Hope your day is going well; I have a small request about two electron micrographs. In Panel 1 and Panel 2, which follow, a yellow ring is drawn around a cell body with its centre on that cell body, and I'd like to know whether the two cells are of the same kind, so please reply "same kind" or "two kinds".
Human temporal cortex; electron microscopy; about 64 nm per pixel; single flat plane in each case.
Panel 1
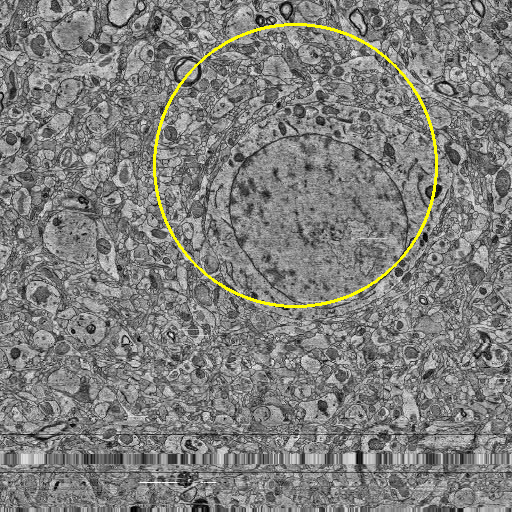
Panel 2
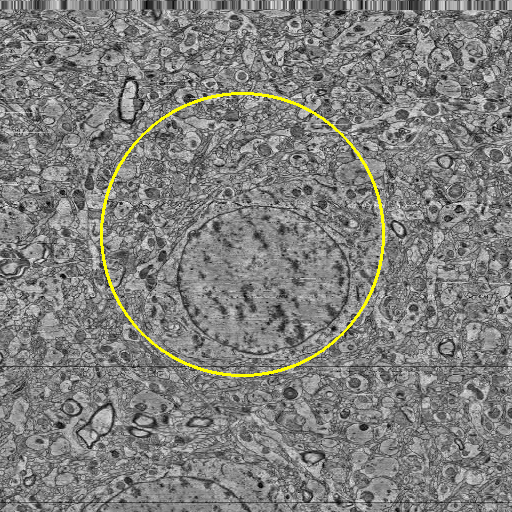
same kind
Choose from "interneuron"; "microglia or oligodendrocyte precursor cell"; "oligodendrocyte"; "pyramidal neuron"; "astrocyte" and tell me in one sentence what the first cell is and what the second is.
In each of the two pictures, the ringed cell is a pyramidal neuron.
